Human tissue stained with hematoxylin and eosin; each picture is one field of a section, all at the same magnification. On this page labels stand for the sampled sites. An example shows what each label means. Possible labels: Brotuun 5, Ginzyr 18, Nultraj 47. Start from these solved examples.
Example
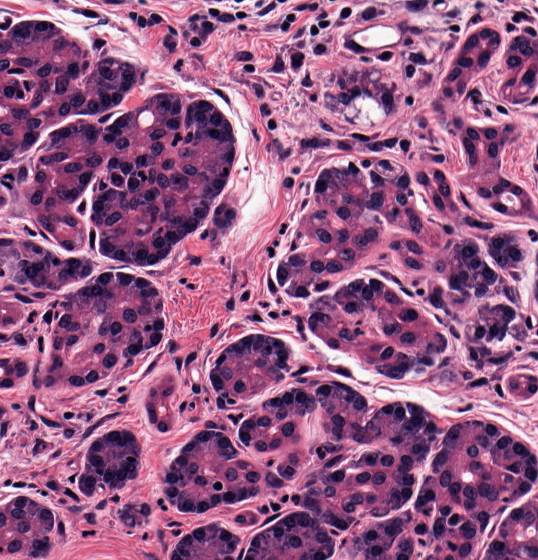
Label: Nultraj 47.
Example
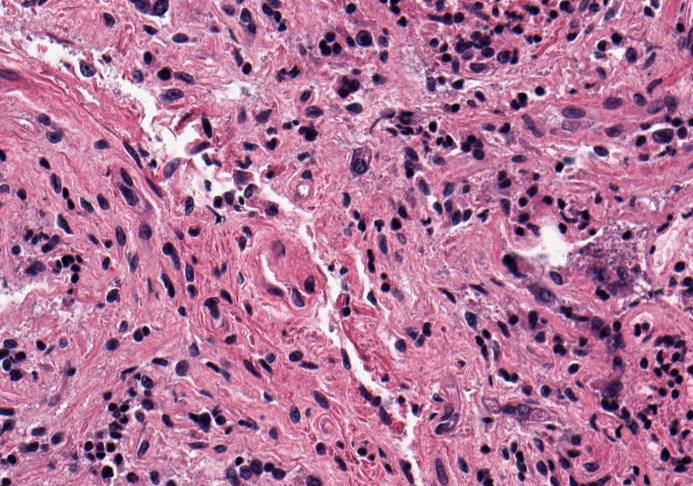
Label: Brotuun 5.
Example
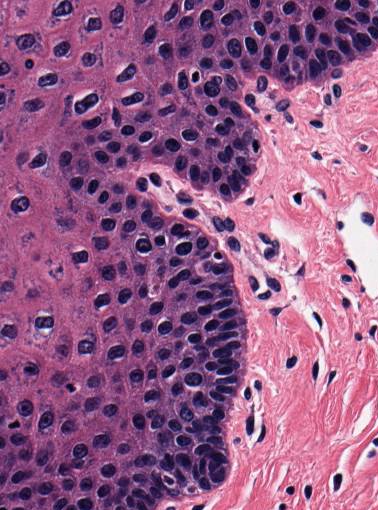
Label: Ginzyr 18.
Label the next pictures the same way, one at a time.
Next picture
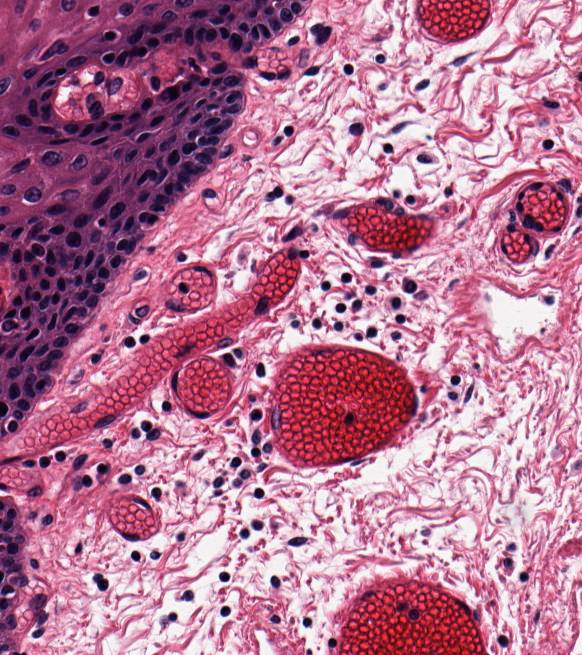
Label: Ginzyr 18.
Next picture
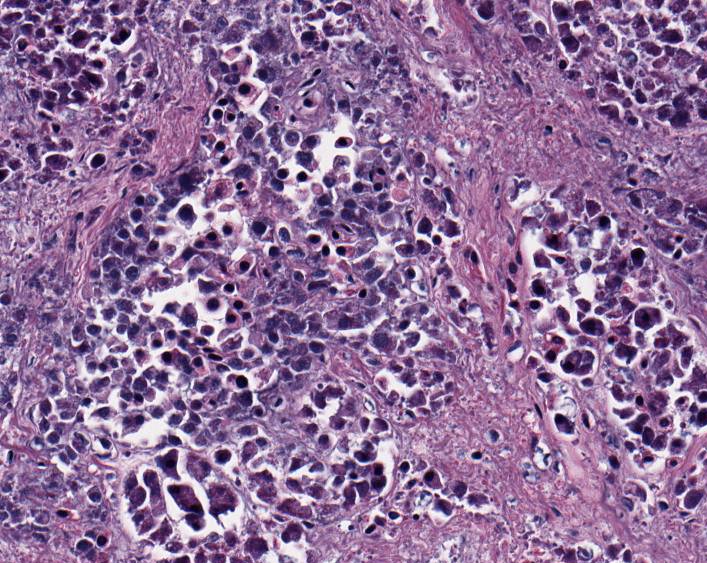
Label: Nultraj 47.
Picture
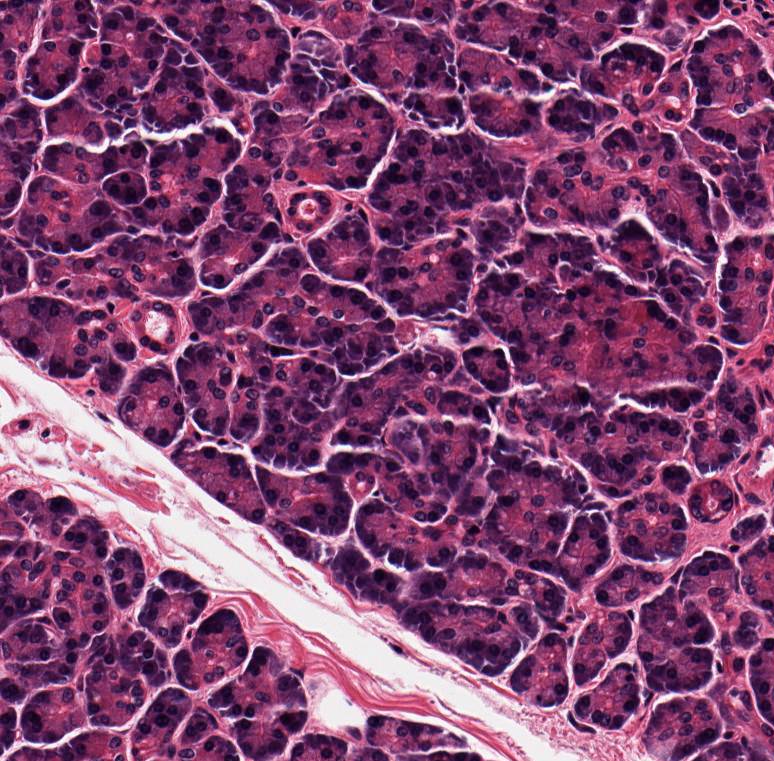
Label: Nultraj 47.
